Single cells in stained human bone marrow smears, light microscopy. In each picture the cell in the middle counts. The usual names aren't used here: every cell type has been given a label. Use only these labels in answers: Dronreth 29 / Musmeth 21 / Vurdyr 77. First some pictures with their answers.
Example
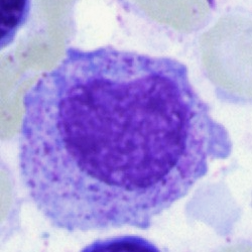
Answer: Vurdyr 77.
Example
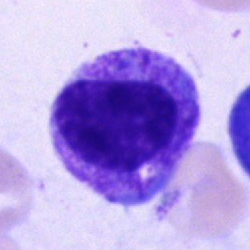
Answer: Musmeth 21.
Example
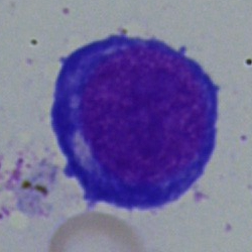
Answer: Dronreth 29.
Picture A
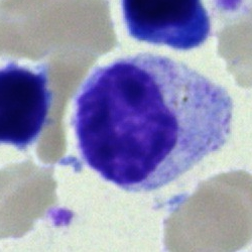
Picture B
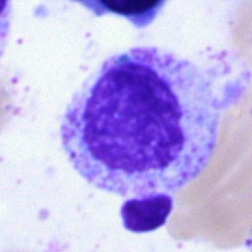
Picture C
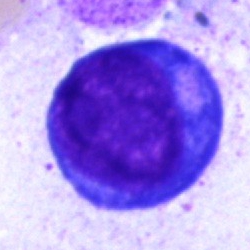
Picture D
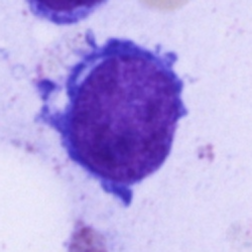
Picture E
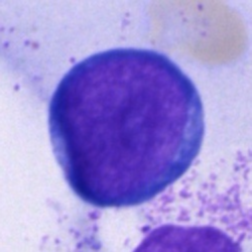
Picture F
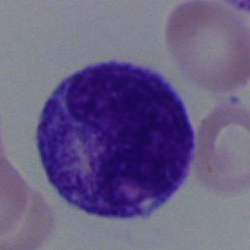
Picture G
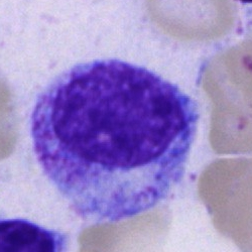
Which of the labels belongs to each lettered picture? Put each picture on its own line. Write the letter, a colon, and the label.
A: Musmeth 21.
B: Musmeth 21.
C: Dronreth 29.
D: Dronreth 29.
E: Dronreth 29.
F: Vurdyr 77.
G: Musmeth 21.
